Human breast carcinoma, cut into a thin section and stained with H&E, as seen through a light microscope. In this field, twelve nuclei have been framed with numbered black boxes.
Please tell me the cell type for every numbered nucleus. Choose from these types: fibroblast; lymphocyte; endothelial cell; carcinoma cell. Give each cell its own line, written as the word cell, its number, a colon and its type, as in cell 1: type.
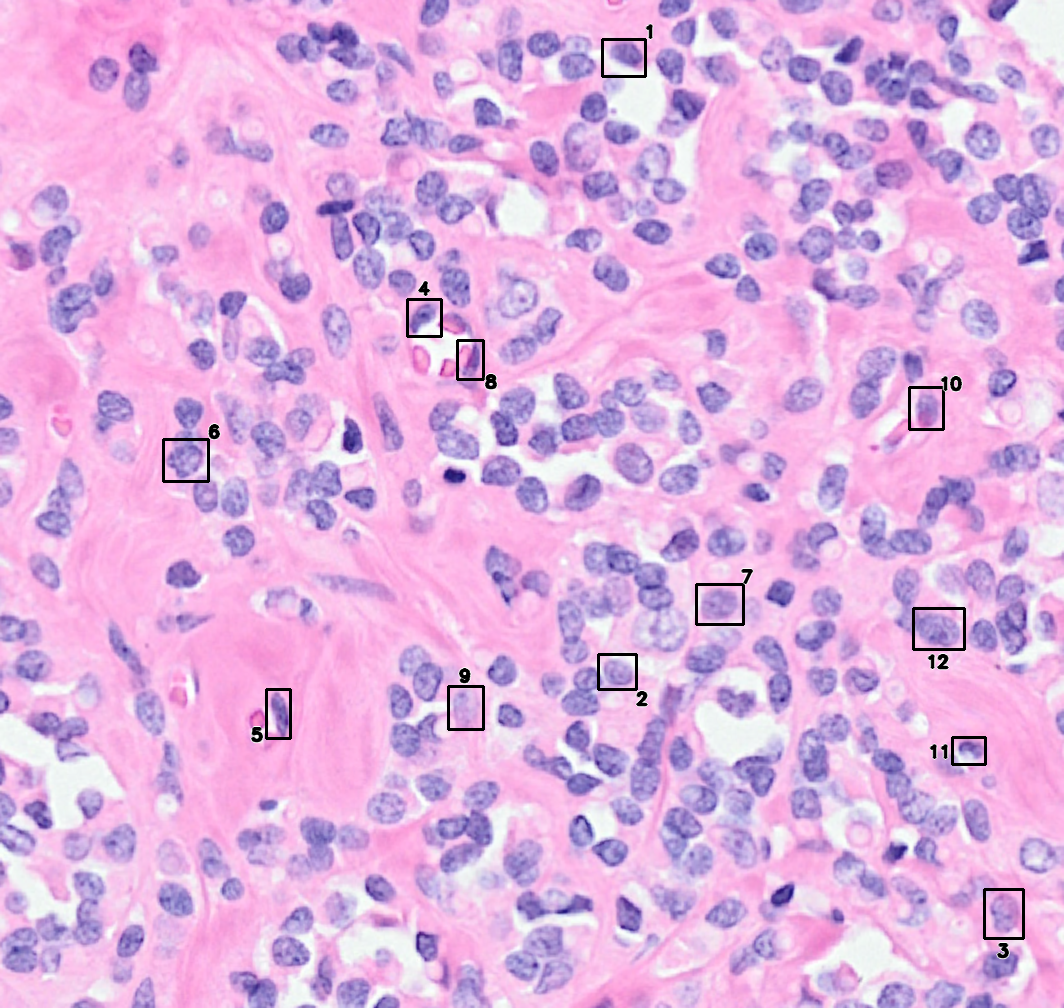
cell 1: carcinoma cell
cell 2: carcinoma cell
cell 3: carcinoma cell
cell 4: endothelial cell
cell 5: endothelial cell
cell 6: carcinoma cell
cell 7: carcinoma cell
cell 8: endothelial cell
cell 9: carcinoma cell
cell 10: endothelial cell
cell 11: endothelial cell
cell 12: carcinoma cell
